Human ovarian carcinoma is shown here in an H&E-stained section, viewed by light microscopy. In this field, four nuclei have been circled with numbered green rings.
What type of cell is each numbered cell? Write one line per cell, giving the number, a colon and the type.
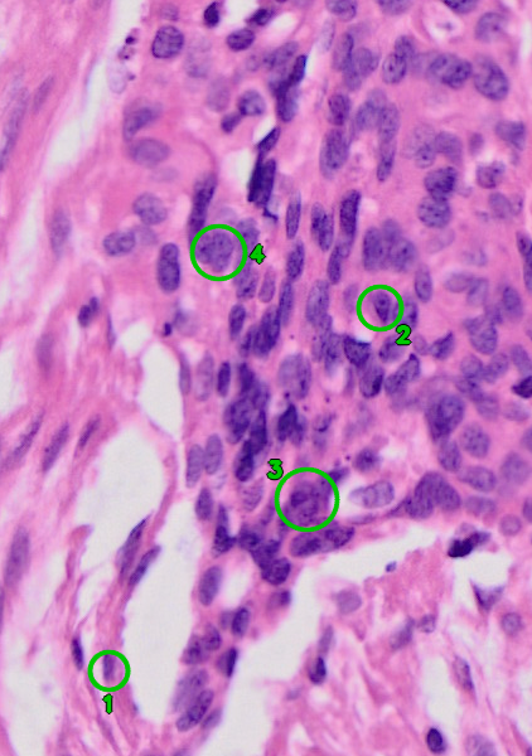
1: fibroblast
2: carcinoma cell
3: carcinoma cell
4: carcinoma cell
